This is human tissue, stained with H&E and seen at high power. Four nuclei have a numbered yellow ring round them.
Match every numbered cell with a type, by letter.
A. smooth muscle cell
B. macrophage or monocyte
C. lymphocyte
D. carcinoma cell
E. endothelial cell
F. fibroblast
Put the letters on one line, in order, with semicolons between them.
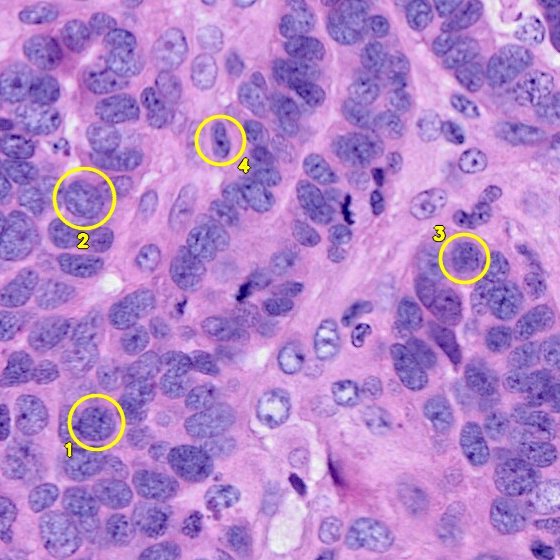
D; D; D; B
